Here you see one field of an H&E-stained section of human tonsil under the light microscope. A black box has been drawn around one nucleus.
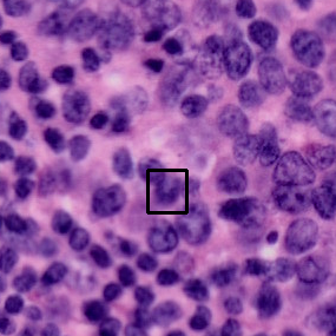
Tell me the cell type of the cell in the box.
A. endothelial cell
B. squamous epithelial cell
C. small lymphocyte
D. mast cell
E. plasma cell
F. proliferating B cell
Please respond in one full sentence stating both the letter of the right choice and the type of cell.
The right pick is option F; the cell in the box is a proliferating B cell.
